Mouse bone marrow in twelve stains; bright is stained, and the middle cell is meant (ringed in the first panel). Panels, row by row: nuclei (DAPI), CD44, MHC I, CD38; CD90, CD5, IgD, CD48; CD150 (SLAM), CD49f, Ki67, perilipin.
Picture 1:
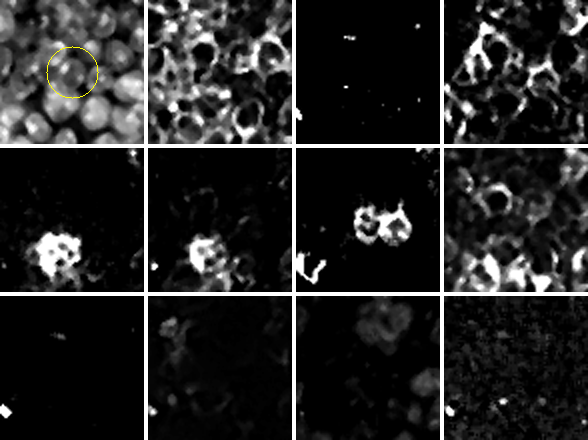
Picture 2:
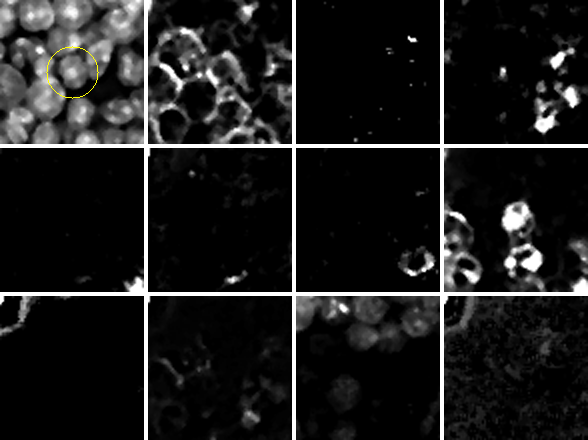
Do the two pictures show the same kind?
No: a B cell, then a monocyte.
